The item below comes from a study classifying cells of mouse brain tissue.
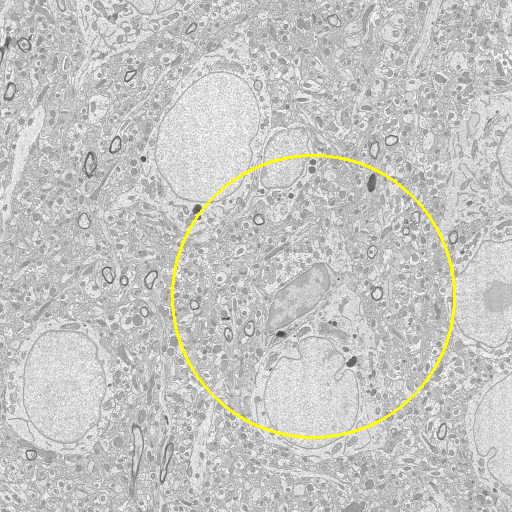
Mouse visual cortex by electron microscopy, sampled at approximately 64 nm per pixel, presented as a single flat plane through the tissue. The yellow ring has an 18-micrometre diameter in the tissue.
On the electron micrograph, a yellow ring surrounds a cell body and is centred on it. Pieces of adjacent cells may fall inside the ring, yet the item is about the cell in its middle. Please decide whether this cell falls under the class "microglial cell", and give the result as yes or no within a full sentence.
Yes, the cell at the middle of the ring on the micrograph belongs in that class.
